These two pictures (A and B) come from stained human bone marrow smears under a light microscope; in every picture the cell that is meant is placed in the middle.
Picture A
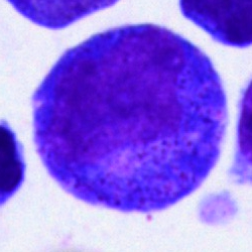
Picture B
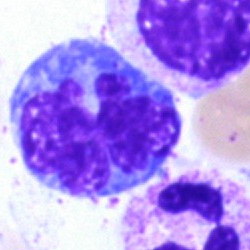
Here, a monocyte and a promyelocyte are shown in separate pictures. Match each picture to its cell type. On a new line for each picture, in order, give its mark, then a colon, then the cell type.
A: promyelocyte
B: monocyte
